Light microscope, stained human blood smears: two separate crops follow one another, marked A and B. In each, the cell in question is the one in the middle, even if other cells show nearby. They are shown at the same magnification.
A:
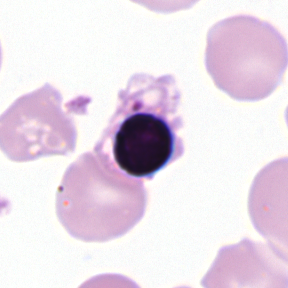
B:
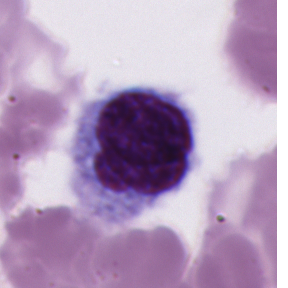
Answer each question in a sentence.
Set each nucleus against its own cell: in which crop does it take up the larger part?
It is the cell in picture B that is filled more by its nucleus.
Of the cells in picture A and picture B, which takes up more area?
The cell in picture B is larger, with about 2 times the area of the one in picture A.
